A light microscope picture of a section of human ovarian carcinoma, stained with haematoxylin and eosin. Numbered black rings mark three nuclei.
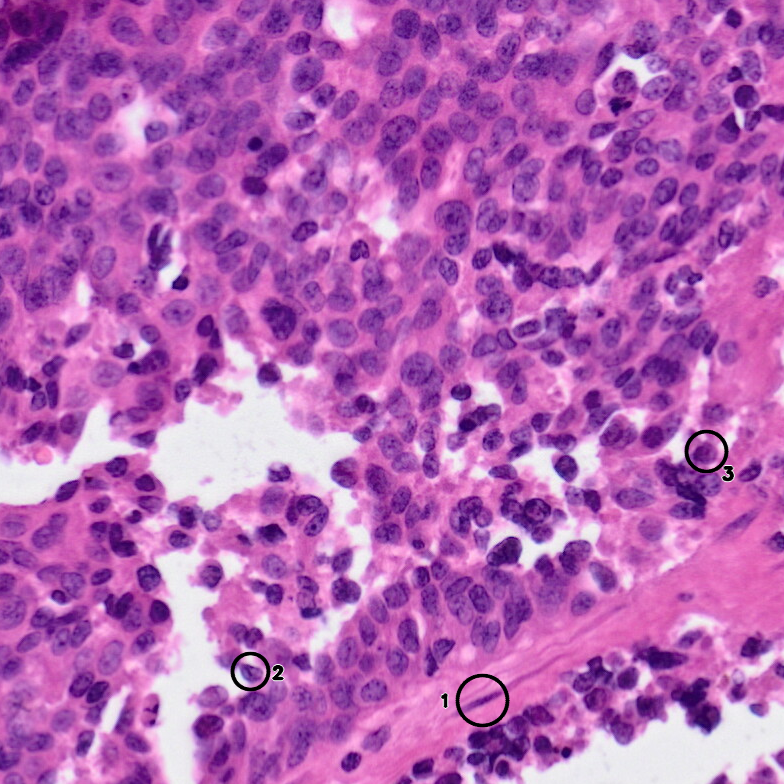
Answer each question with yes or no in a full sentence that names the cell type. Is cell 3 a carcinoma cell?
Yes, the marked cell with number 3 is a carcinoma cell.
